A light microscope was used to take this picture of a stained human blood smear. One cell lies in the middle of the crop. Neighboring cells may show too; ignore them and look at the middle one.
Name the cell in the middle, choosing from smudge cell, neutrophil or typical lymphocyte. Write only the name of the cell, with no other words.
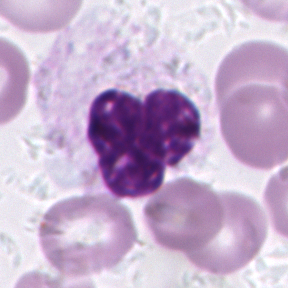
neutrophil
